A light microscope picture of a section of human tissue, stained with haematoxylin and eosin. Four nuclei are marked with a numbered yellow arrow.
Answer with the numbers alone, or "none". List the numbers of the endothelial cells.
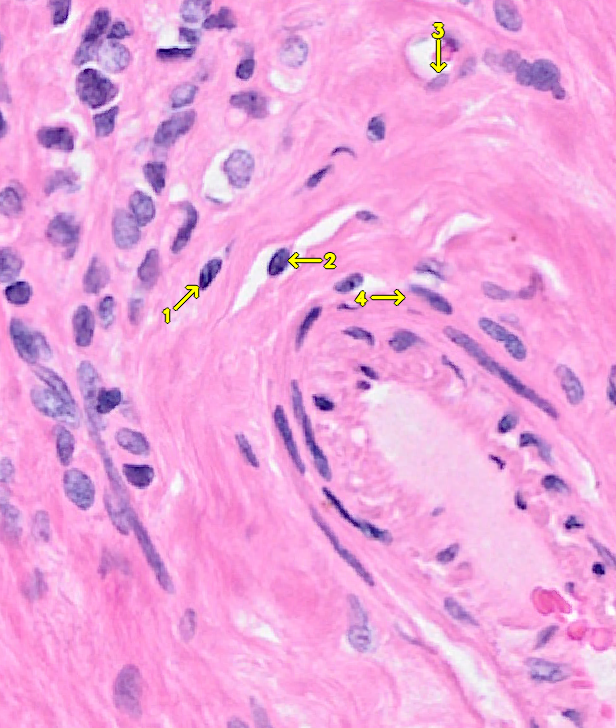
3, 4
